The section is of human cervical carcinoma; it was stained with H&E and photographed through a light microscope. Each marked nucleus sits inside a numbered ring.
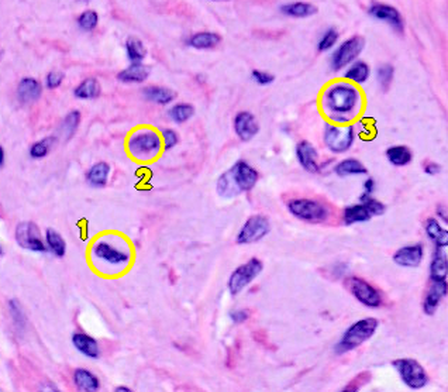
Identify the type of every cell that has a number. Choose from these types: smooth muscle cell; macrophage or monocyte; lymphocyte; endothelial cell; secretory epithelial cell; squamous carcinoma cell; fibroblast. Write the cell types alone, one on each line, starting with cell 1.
fibroblast
smooth muscle cell
endothelial cell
